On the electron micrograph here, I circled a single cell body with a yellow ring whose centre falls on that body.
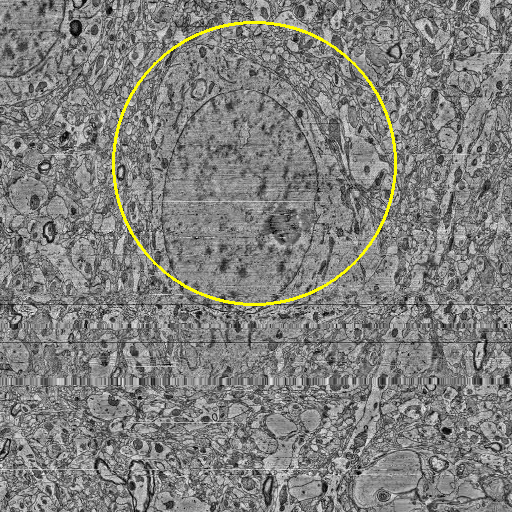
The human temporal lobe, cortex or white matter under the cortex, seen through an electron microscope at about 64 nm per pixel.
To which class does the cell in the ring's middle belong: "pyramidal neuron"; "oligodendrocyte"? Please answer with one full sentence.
In this picture, the cell body circled at the ring's centre belongs to a pyramidal neuron.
